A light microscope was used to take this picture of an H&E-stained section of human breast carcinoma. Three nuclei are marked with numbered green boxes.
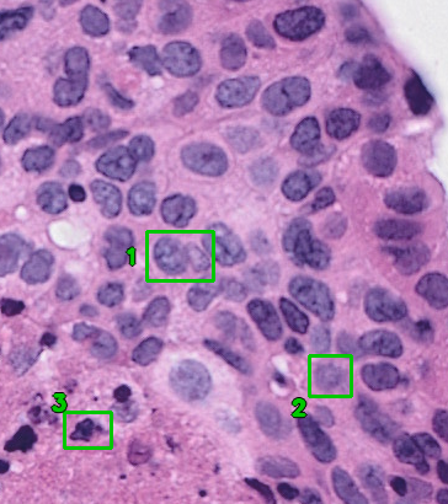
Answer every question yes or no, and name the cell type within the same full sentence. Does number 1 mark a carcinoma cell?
Yes, the one numbered 1 is a carcinoma cell.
